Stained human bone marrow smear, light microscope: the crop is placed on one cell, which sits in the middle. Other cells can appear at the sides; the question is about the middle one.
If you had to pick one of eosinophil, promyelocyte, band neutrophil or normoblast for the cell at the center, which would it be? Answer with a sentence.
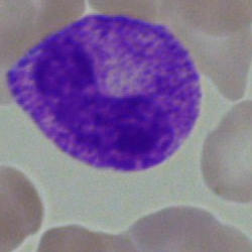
Of the cells in this crop, the central one is a band neutrophil.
